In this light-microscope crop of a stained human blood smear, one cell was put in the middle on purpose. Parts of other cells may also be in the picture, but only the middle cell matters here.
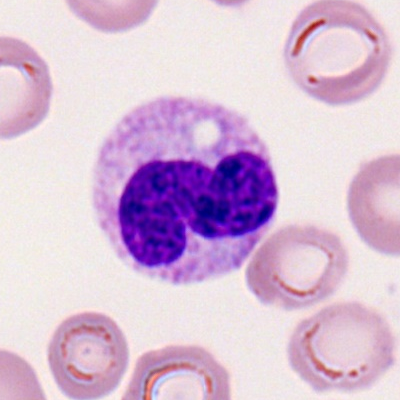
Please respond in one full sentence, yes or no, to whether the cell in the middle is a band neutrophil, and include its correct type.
No, the central cell is a segmented neutrophil, not a band neutrophil.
